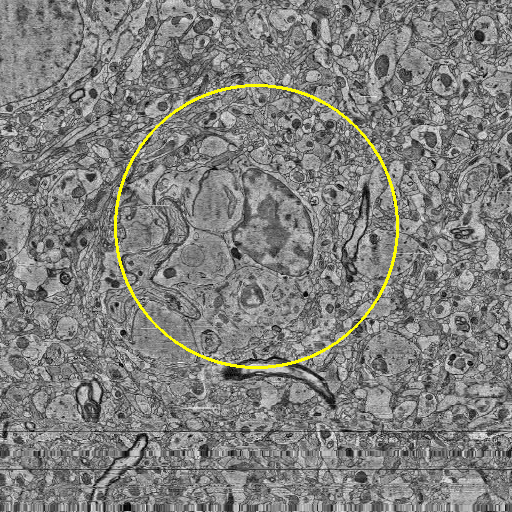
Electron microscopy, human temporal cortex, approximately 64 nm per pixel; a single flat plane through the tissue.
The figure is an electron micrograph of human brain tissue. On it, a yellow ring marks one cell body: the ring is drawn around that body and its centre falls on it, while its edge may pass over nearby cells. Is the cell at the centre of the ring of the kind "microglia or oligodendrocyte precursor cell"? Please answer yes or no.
yes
